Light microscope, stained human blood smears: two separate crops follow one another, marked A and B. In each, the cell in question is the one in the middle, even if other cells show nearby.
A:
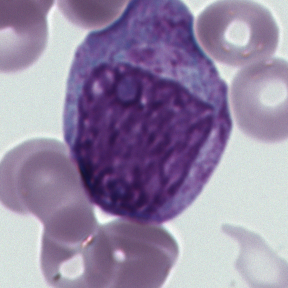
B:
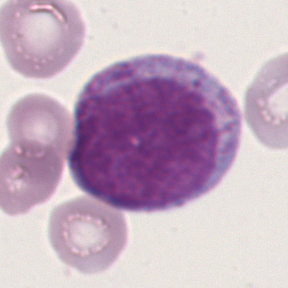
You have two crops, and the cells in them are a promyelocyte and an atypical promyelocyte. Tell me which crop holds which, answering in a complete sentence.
So, crop A is an atypical promyelocyte, and crop B is a promyelocyte.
